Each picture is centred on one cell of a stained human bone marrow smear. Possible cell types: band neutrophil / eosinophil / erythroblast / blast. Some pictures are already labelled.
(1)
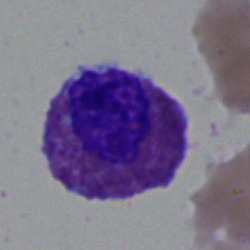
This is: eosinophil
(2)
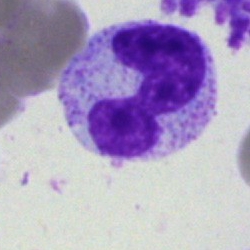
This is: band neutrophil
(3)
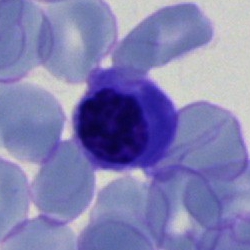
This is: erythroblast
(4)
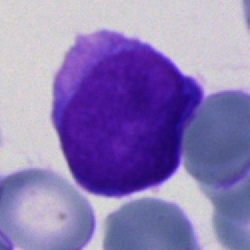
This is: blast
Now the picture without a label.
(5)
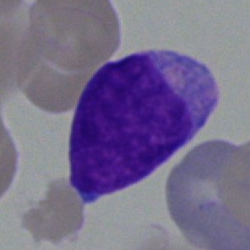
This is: blast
